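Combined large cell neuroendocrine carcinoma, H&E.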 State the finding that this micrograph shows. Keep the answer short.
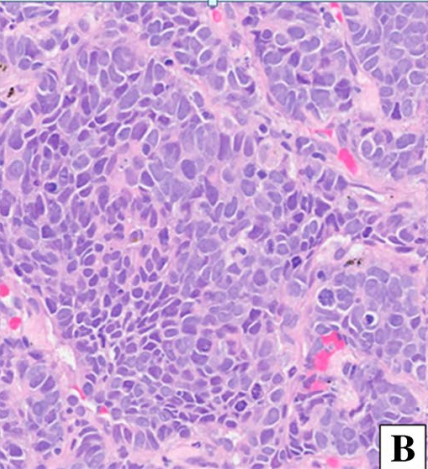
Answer: Nuclear molding.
